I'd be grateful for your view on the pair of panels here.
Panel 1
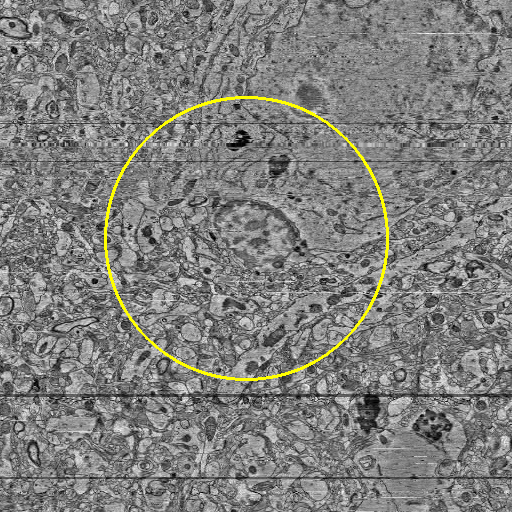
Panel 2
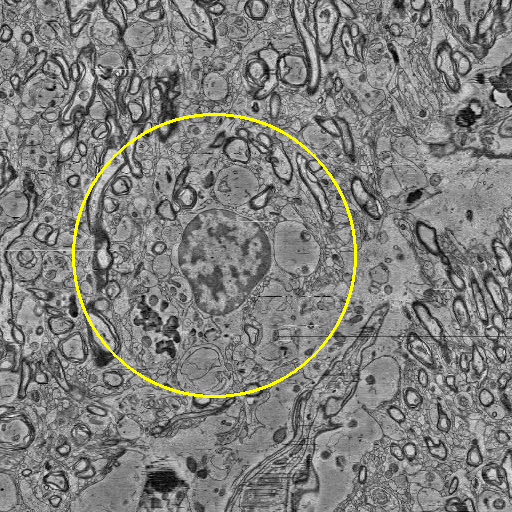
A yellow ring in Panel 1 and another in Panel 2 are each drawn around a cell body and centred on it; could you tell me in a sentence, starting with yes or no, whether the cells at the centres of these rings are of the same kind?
No, they are two kinds of cell.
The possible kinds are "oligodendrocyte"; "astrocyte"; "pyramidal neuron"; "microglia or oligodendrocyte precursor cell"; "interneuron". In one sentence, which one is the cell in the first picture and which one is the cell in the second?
The cell ringed in the second picture is a microglial cell or oligodendrocyte precursor cell, whereas the one ringed in the first is an oligodendrocyte.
